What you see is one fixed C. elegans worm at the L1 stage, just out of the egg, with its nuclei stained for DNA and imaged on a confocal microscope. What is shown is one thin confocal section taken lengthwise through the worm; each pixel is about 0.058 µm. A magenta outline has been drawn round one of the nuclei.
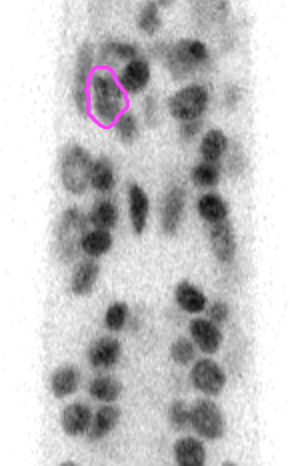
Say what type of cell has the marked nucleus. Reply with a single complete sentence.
The cell with the marked nucleus is a pharyngeal muscle cell.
